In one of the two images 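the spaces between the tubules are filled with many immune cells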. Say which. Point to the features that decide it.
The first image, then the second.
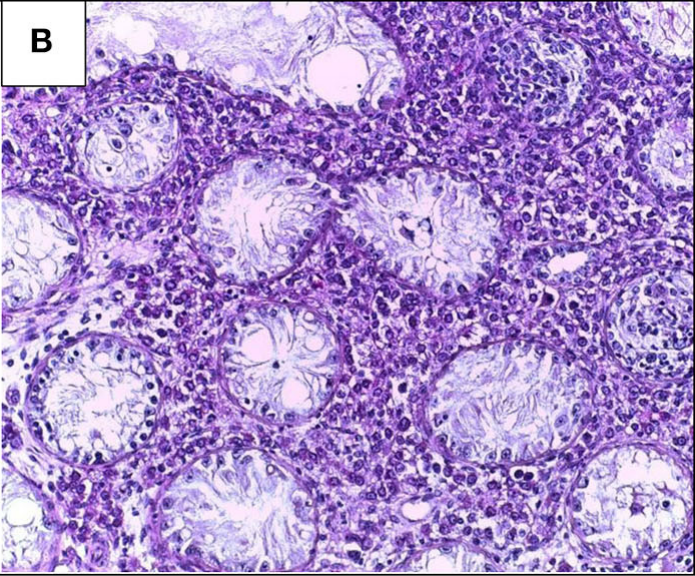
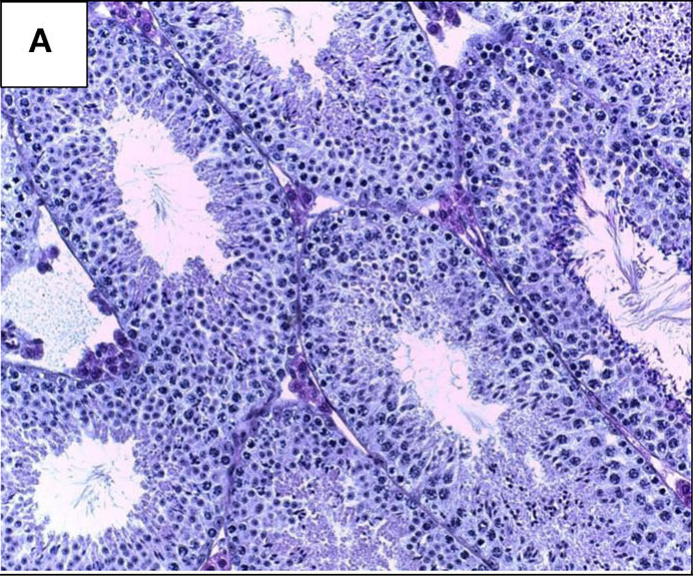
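First image: wide interstitial spaces densely packed with small dark round nuclei. Second image: tubules lie close together with only narrow spaces and few cells between them. The answer: the first image.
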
